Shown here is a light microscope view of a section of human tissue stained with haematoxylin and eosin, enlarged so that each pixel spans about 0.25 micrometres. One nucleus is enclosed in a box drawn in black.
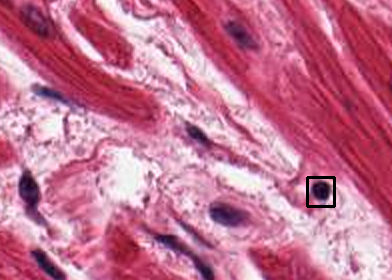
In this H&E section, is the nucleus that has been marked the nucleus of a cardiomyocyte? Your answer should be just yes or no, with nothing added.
no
